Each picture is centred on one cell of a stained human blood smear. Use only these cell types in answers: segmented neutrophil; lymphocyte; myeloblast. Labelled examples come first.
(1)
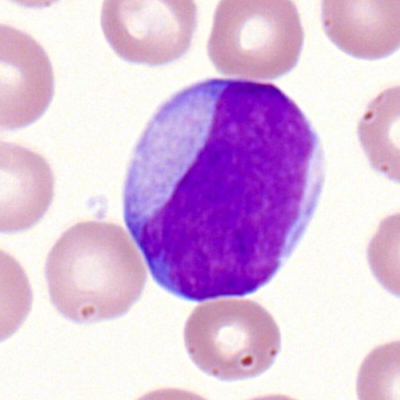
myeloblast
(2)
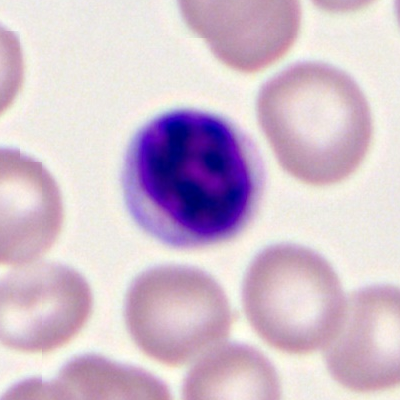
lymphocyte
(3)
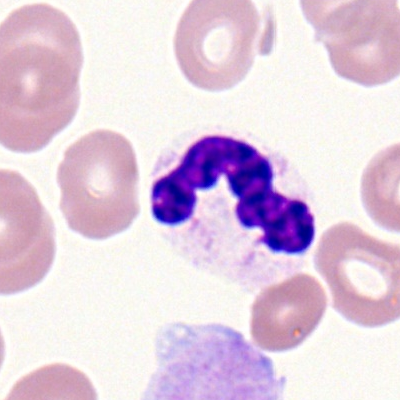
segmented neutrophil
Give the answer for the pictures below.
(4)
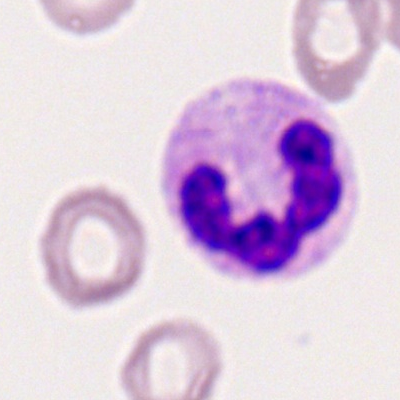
segmented neutrophil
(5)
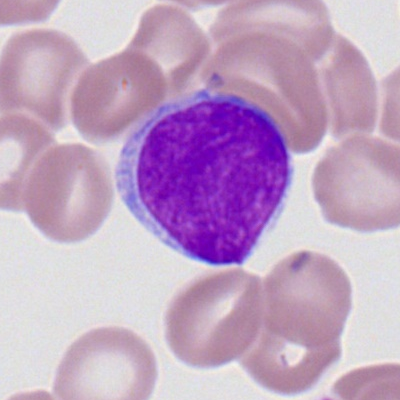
myeloblast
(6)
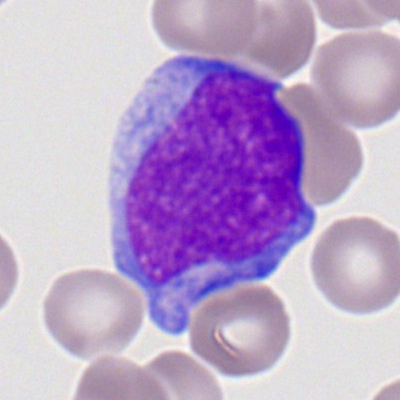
myeloblast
